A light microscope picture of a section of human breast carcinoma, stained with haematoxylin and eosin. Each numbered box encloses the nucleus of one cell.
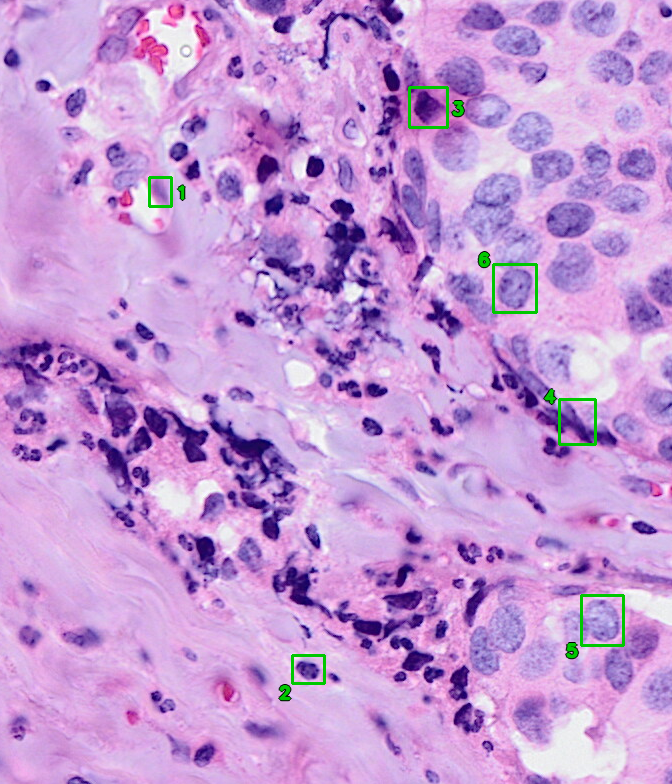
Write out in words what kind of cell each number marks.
Cell 1 is an endothelial cell, cell 2 is a lymphocyte, cell 3 is a carcinoma cell, cell 4 is a carcinoma cell, cell 5 is a carcinoma cell and cell 6 is a carcinoma cell.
